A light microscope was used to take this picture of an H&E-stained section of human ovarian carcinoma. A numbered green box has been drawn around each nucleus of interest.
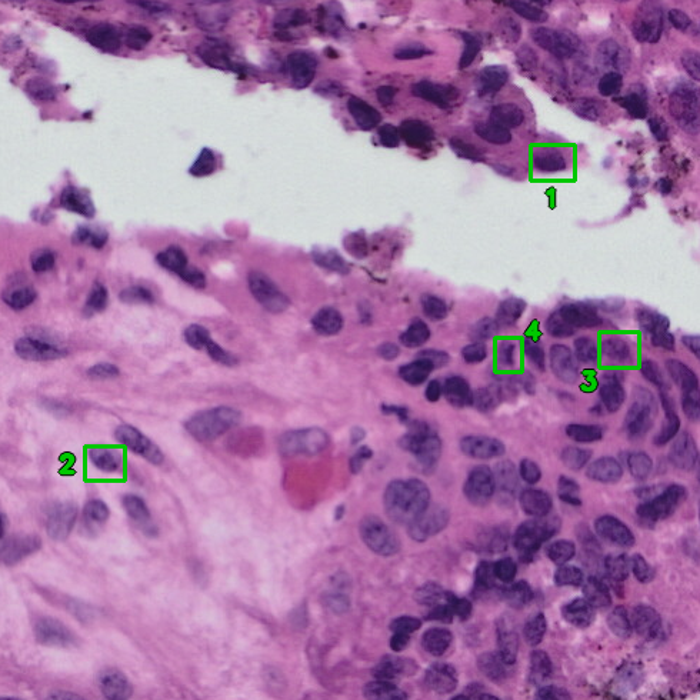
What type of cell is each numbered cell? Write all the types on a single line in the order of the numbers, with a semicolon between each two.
carcinoma cell; fibroblast; carcinoma cell; carcinoma cell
